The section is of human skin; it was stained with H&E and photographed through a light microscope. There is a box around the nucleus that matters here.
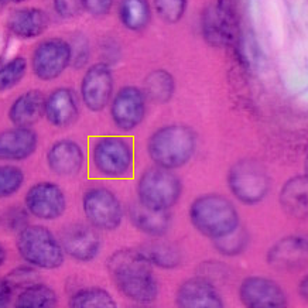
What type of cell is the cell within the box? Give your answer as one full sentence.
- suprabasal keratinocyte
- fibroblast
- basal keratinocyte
As classified here, the cell within the box is a suprabasal keratinocyte.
